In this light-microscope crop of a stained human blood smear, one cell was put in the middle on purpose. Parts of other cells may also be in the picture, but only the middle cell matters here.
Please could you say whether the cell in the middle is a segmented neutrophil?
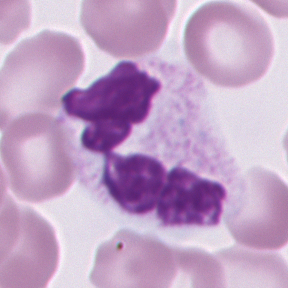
yes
